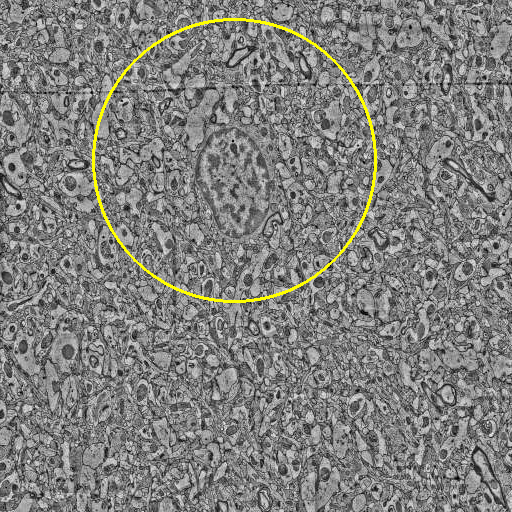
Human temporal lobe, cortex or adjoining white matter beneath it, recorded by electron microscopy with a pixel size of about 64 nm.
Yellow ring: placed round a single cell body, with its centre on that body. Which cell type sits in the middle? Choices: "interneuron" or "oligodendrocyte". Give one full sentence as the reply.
It is an oligodendrocyte whose cell body sits at the centre of the yellow ring.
